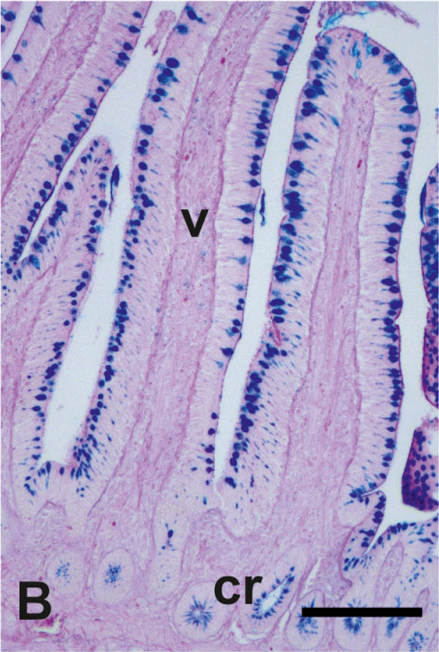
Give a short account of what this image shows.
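This is intestinal mucosa with long finger-like villi and crypts at their base. Each villus is covered by a columnar epithelium in which many goblet cells stand out as dark blue-stained dots arranged along its length, around a pale pink core. At the bottom, crypts are cut in cross section as round profiles containing blue-stained mucus.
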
